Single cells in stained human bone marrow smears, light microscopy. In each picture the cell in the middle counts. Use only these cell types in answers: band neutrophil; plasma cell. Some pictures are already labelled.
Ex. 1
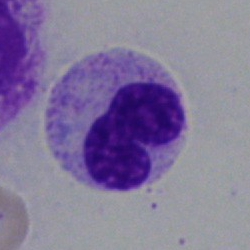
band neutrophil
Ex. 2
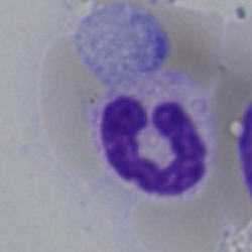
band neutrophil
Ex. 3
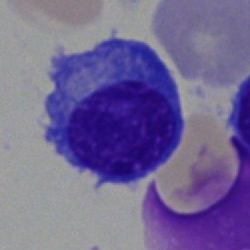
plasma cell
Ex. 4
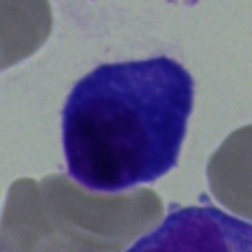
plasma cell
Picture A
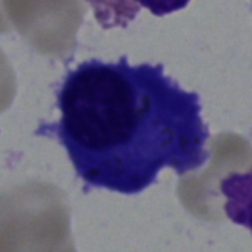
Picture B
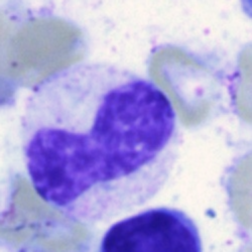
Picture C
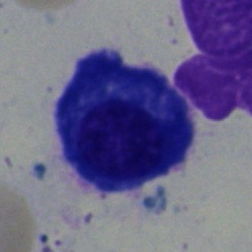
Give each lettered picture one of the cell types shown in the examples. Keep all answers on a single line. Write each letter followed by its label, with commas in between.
A plasma cell, B band neutrophil, C plasma cell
